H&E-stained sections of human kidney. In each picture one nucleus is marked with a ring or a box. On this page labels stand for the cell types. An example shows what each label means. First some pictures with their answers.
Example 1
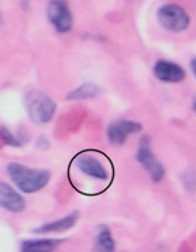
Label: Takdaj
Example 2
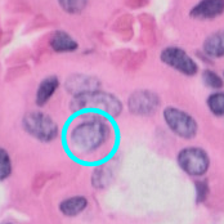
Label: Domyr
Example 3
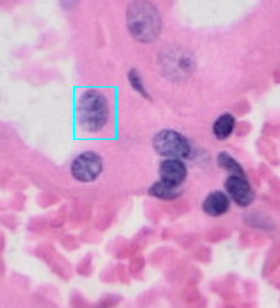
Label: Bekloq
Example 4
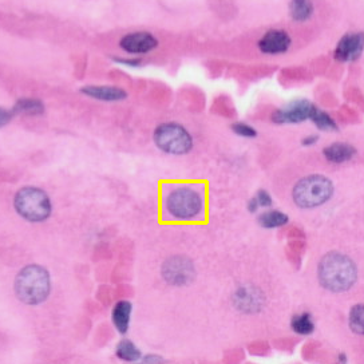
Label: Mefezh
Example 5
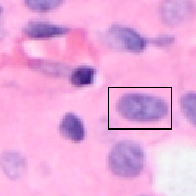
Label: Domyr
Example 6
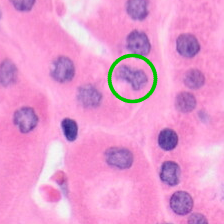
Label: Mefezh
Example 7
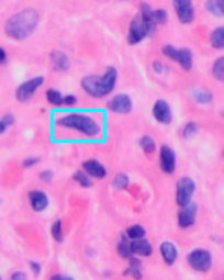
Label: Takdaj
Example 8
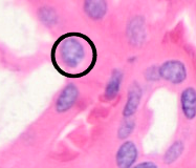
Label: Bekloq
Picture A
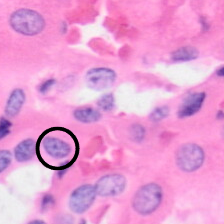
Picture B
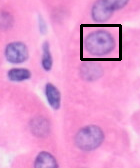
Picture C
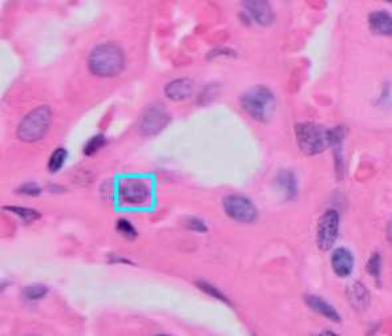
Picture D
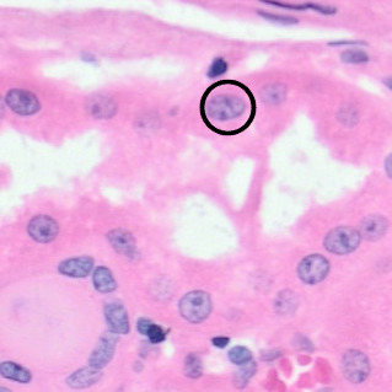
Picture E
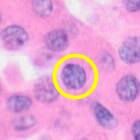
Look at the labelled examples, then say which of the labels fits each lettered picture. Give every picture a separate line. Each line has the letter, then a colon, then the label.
A: Domyr
B: Mefezh
C: Domyr
D: Mefezh
E: Bekloq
